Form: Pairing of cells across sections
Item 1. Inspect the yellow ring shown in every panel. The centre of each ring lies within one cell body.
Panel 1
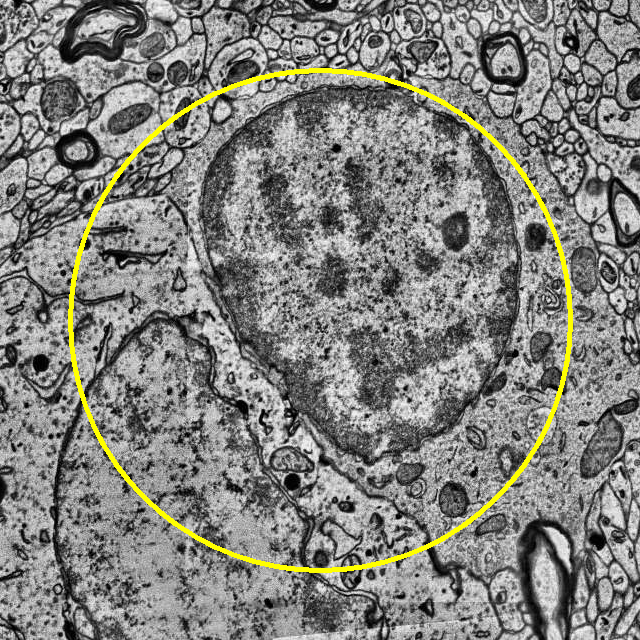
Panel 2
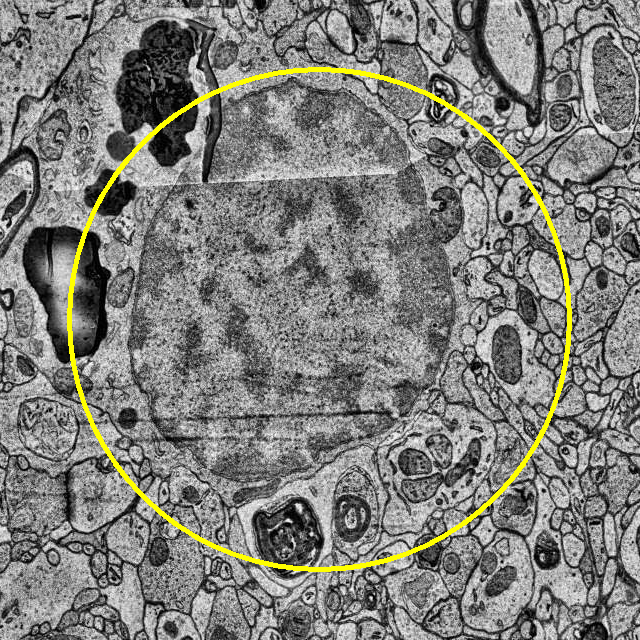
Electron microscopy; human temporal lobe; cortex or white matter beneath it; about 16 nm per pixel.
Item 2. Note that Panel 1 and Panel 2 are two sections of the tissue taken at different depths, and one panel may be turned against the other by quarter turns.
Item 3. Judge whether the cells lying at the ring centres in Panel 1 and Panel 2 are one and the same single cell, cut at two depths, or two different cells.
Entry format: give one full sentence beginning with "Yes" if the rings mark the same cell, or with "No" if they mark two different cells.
No, two distinct cells are each enclosed by a yellow ring.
